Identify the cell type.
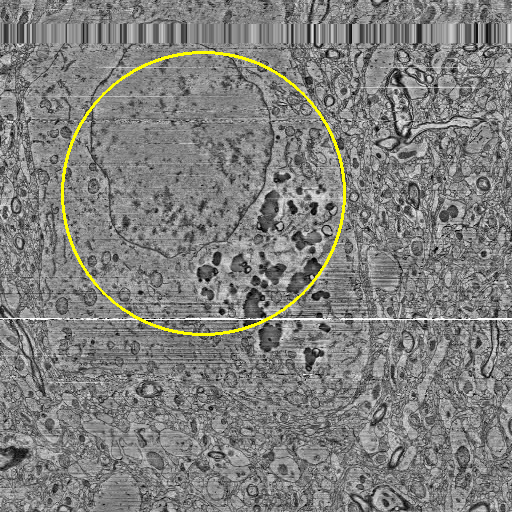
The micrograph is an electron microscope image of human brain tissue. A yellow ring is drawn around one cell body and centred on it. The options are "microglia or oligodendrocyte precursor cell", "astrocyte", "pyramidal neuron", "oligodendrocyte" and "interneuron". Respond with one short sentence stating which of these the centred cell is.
The cell body in the ring belongs to a pyramidal neuron.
